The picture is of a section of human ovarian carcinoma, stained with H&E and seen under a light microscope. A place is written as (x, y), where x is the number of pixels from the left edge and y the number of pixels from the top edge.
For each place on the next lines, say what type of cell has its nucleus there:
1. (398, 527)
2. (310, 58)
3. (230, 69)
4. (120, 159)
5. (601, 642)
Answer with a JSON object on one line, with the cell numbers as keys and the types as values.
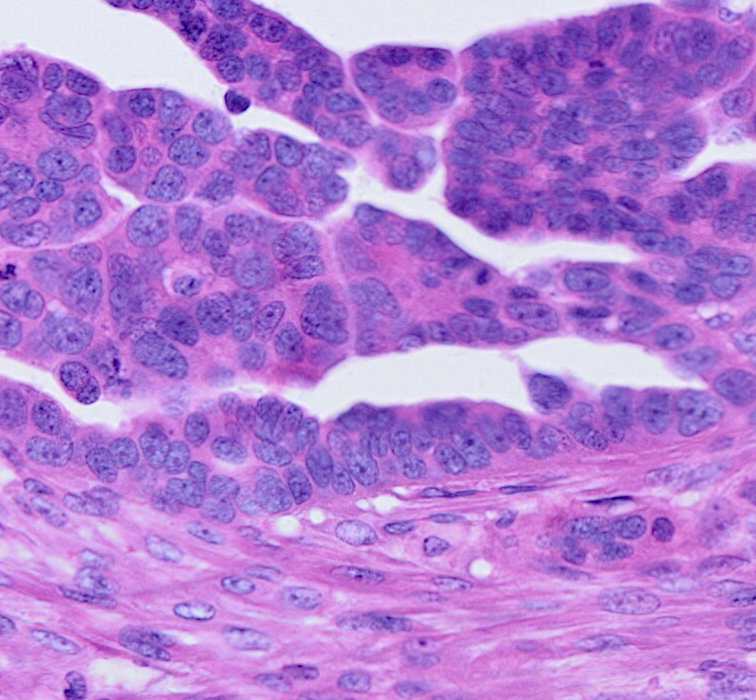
{"1": "fibroblast", "2": "carcinoma cell", "3": "carcinoma cell", "4": "carcinoma cell", "5": "fibroblast"}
